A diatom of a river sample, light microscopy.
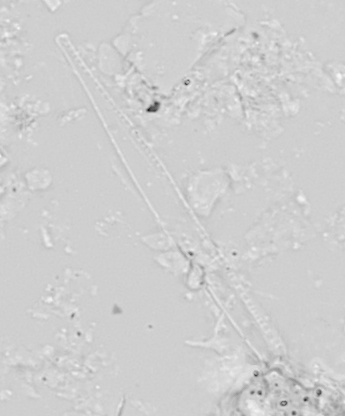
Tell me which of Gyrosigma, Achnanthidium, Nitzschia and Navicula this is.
The picture shows Nitzschia.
